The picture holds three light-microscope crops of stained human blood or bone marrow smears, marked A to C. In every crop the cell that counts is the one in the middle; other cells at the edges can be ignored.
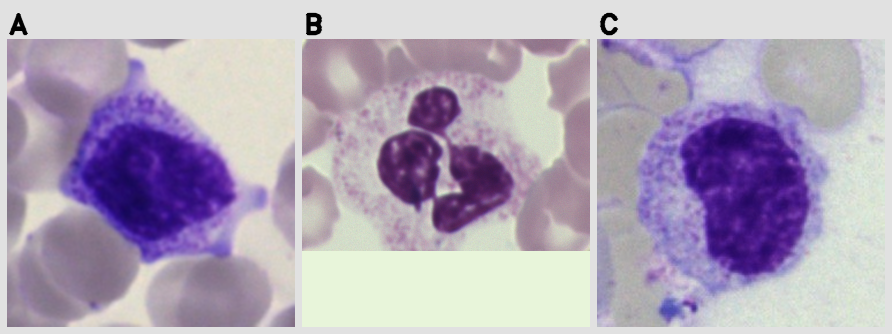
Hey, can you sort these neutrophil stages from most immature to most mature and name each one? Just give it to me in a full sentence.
From the earliest stage to the most mature one, the order is crop A (a myelocyte), crop C (a metamyelocyte) and crop B (a segmented neutrophil).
